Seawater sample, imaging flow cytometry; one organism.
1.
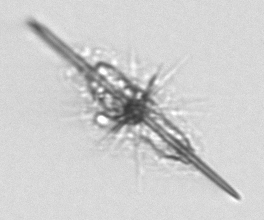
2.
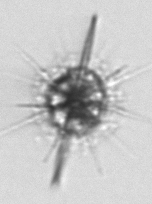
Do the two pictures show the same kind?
Yes, both are radiolarians.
